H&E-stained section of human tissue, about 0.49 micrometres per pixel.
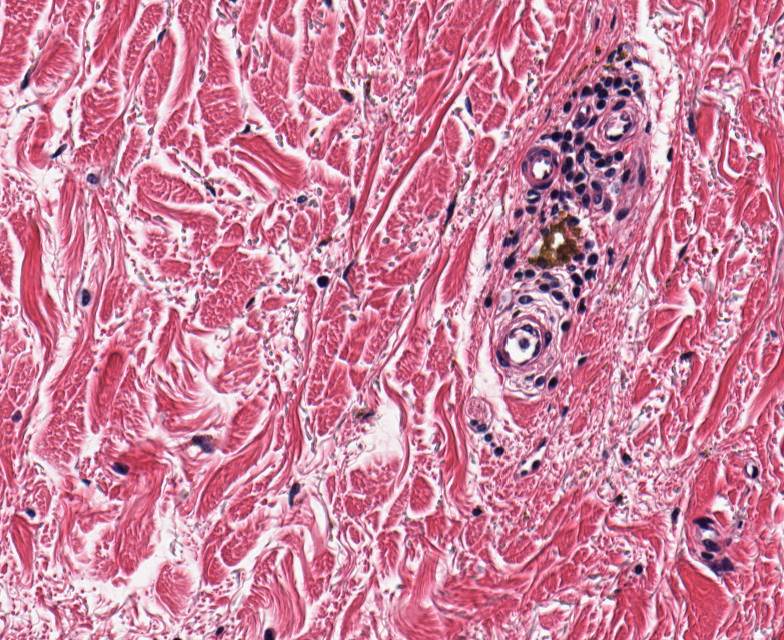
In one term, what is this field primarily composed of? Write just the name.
dermis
